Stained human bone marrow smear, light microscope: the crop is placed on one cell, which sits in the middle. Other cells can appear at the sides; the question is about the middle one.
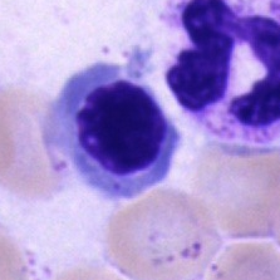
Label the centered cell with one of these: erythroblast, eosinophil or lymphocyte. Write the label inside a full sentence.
Answering briefly, the cell in the middle is an erythroblast.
